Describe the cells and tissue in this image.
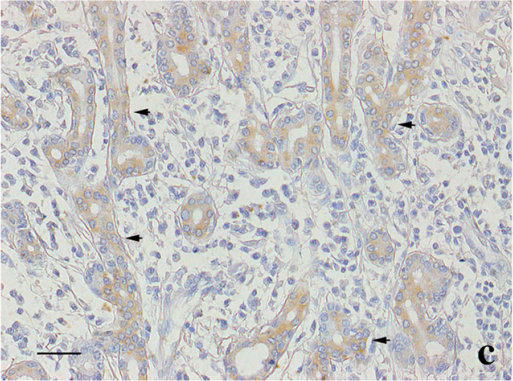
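Glandular tissue with acini and ducts lined by cuboidal epithelial cells with round blue nuclei and light brown cytoplasm around small central lumina. Between the glandular units lies loose stroma with scattered small round and spindle-shaped nuclei.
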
